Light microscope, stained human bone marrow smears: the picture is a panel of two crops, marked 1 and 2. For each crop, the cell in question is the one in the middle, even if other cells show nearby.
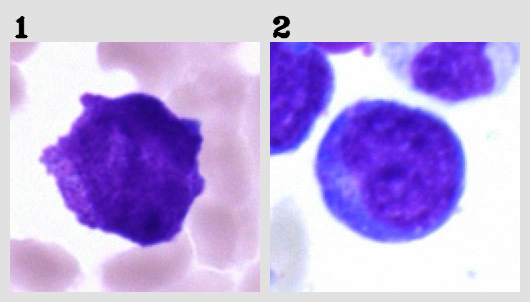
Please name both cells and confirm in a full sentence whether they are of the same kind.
Yes, the middle cells in the two crops are blasts.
